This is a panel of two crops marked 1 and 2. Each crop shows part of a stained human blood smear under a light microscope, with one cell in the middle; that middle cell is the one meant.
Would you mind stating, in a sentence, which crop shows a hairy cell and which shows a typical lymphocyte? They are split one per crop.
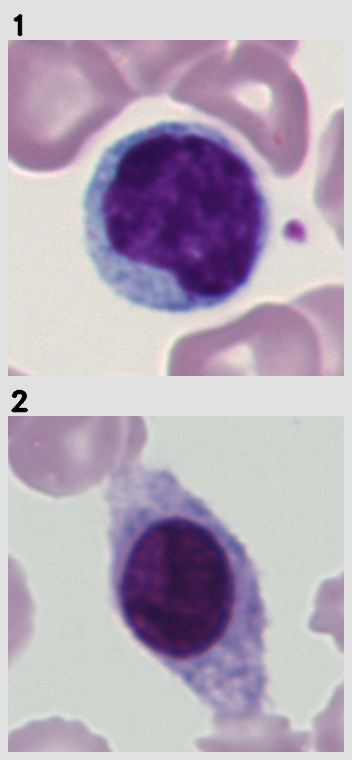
In this set, crop 1 shows a typical lymphocyte and crop 2 shows a hairy cell.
